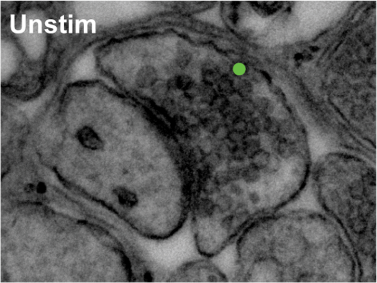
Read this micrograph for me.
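Here a presynaptic terminal crowded with small round synaptic vesicles curves around a large pale postsynaptic profile to its left. The vesicles cluster towards the dark, thickened contact between the two membranes, and the surrounding neuropil shows other membrane-bound profiles.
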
